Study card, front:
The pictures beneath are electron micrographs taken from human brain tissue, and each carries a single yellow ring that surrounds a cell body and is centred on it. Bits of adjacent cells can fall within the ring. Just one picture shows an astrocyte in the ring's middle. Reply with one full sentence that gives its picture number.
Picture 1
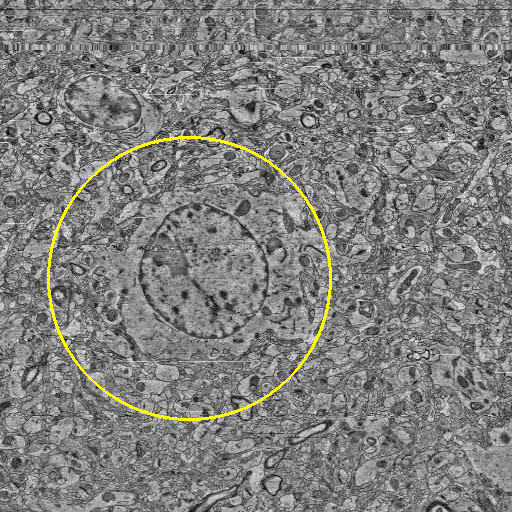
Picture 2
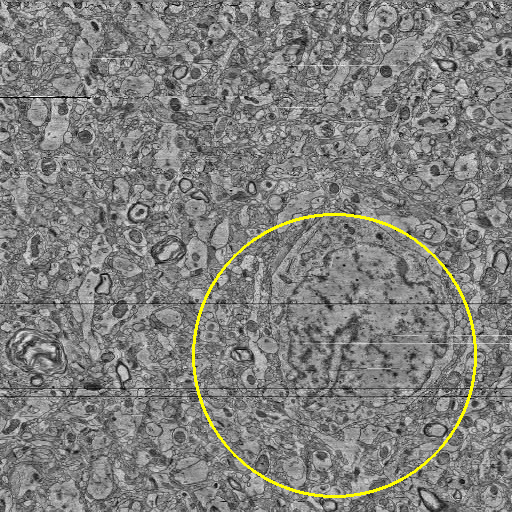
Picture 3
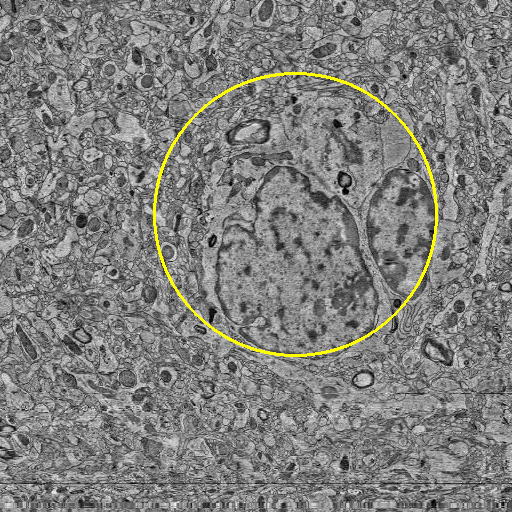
Picture 1 is the one whose ring has the requested cell at its centre.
